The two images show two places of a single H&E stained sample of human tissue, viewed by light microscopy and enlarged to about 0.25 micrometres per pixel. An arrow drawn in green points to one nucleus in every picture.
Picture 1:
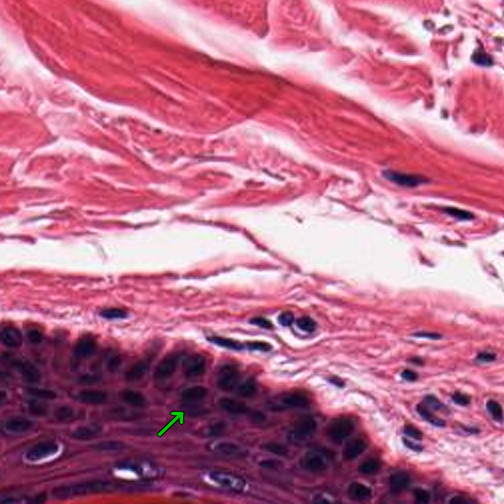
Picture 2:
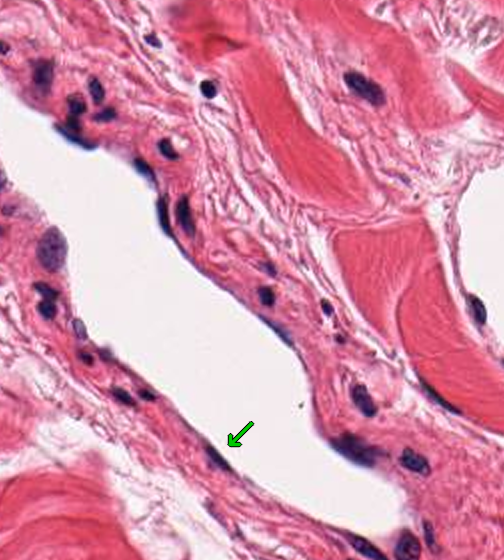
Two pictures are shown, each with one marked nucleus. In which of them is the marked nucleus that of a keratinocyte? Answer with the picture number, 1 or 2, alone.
1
